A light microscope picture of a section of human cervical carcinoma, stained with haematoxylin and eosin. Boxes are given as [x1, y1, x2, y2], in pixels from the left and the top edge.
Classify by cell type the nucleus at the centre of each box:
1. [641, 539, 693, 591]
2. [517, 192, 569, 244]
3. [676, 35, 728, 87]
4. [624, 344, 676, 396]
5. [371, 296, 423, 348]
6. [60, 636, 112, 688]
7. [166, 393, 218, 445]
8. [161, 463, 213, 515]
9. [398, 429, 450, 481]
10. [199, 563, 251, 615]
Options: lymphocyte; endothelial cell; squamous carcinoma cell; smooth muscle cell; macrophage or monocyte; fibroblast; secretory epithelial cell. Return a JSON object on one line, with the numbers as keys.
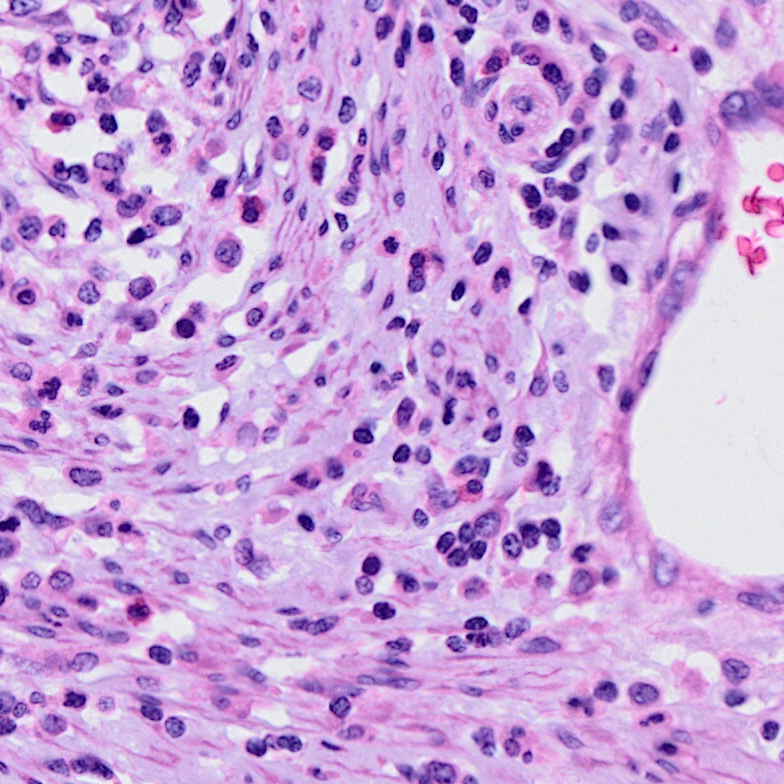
{"1": "endothelial cell", "2": "lymphocyte", "3": "lymphocyte", "4": "endothelial cell", "5": "lymphocyte", "6": "macrophage or monocyte", "7": "lymphocyte", "8": "fibroblast", "9": "lymphocyte", "10": "fibroblast"}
